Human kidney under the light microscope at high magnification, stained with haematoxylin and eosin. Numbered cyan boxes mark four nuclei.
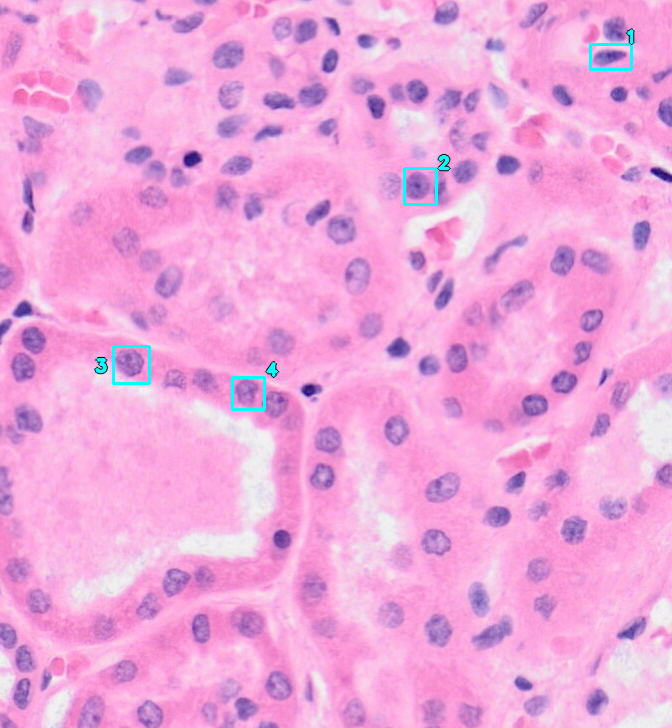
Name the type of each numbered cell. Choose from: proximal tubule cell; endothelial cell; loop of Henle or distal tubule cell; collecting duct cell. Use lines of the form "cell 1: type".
cell 1: endothelial cell
cell 2: collecting duct cell
cell 3: proximal tubule cell
cell 4: proximal tubule cell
